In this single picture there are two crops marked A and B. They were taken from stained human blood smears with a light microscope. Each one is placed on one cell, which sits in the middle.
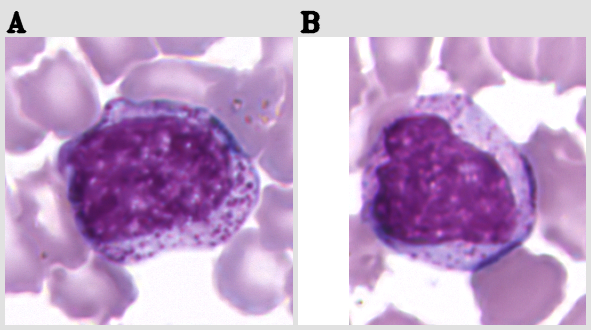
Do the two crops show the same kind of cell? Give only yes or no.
yes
